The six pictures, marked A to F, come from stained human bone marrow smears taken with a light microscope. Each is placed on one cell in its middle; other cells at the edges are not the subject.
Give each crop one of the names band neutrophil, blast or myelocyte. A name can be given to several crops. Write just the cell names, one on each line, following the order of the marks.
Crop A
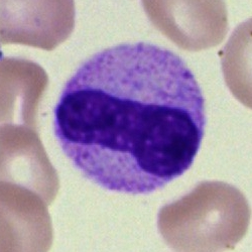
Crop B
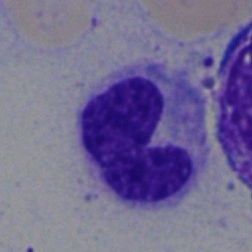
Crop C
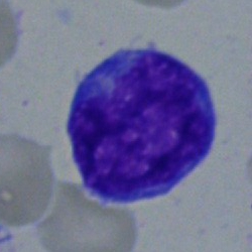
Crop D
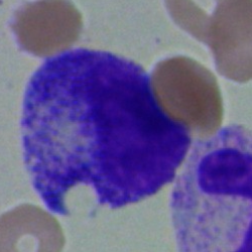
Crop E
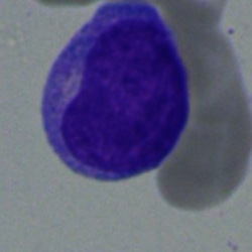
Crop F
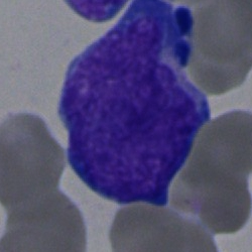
band neutrophil
band neutrophil
blast
myelocyte
blast
blast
